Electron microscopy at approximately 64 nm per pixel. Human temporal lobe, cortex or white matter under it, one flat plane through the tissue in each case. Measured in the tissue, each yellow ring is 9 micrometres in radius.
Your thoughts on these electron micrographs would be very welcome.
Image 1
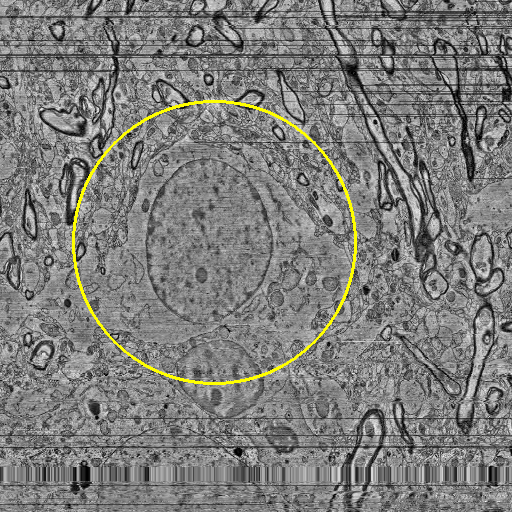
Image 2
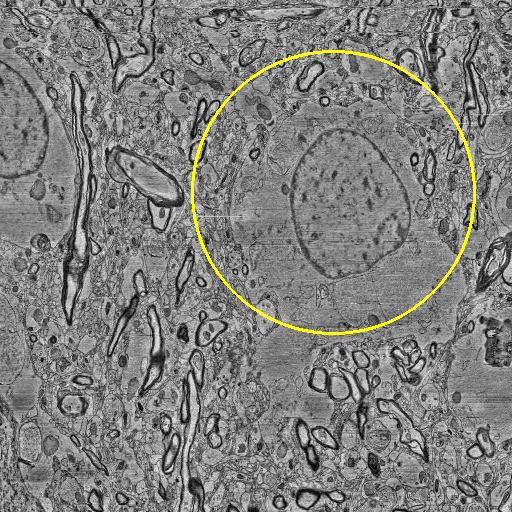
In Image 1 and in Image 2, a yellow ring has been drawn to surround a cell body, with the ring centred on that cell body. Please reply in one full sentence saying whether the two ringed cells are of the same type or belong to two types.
The ringed cells in Image 1 and Image 2 are of the same type.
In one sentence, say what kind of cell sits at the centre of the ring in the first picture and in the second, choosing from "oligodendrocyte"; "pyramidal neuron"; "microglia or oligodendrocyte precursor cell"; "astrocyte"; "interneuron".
Each cell, in the first picture and the second, is an astrocyte.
